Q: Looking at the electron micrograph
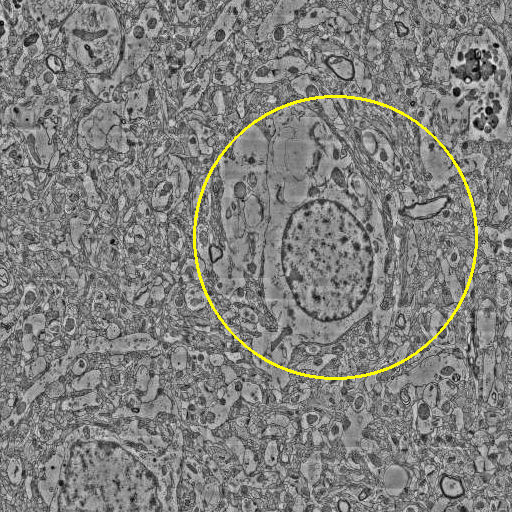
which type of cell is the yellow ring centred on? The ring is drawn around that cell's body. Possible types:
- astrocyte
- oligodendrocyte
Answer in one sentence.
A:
The yellow ring is centred on an astrocyte.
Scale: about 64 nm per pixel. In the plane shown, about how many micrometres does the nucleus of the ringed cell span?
The ringed cell's nucleus measures approximately 8 by 6 micrometres in this plane.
